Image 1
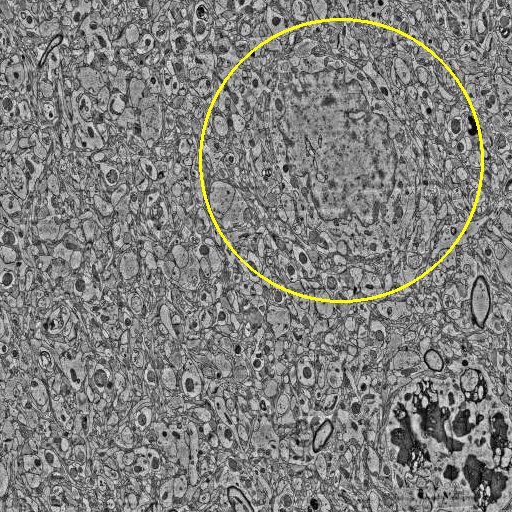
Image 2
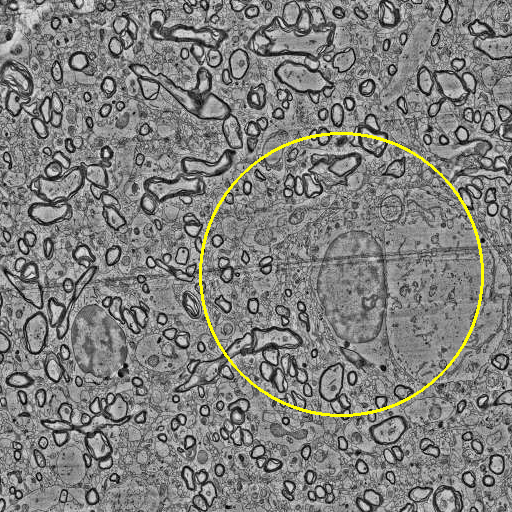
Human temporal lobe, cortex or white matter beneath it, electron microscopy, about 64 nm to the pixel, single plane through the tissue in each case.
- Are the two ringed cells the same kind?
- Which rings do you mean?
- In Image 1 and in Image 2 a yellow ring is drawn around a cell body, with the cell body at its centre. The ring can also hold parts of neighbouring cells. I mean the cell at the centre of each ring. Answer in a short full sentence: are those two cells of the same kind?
No, the cells are of two kinds.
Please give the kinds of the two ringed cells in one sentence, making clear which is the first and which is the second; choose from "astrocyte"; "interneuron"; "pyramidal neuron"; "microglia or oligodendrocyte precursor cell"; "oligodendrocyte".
In the second picture the ringed cell is an oligodendrocyte; in the first it is an interneuron.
